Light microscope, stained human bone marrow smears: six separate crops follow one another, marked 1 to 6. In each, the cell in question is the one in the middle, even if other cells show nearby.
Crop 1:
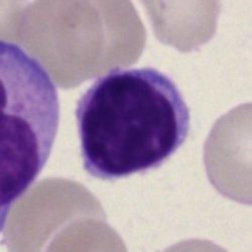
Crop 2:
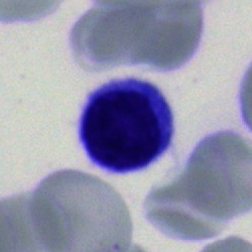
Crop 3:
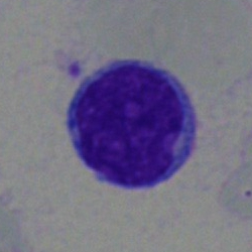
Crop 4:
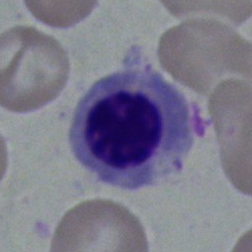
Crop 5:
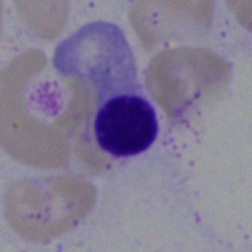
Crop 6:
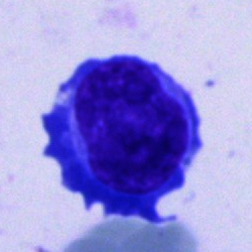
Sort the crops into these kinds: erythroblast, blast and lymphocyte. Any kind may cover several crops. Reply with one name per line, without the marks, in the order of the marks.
lymphocyte
lymphocyte
lymphocyte
erythroblast
erythroblast
blast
